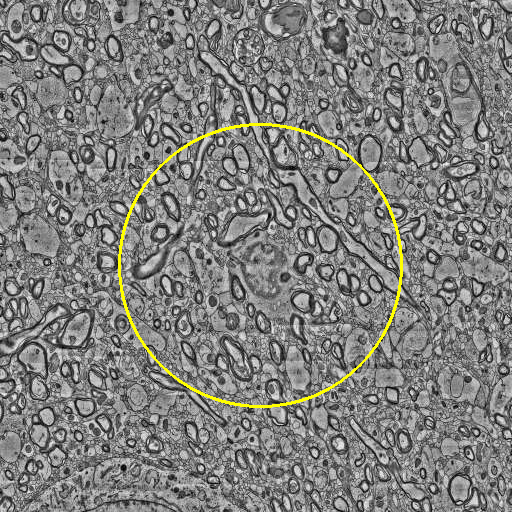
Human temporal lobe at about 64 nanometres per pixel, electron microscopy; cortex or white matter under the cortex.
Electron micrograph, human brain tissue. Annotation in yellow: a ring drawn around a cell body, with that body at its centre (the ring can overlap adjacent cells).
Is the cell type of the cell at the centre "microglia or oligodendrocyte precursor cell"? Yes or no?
No, it is of another type.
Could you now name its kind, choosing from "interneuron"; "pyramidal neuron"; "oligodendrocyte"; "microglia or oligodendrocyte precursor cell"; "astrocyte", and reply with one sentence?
That cell in the ring is an oligodendrocyte instead.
